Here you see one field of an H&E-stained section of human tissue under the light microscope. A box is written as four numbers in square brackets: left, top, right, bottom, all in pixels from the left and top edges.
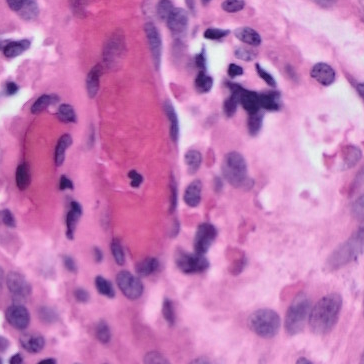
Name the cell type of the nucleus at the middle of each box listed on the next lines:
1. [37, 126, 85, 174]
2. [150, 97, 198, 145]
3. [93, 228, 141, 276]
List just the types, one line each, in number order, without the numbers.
endothelial cell
fibroblast
endothelial cell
